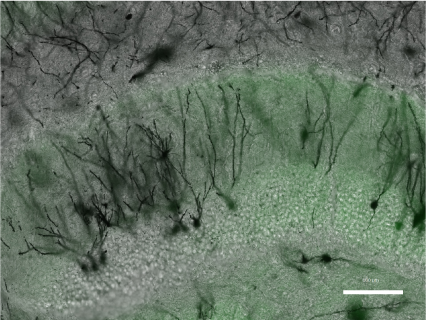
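A curved band of densely packed, pale cell bodies runs across the field. A number of neurons within or at the edge of this band are impregnated solid black. From these black cell bodies, branching dendrites fan out in one direction into the broader, less cellular layer beside the band. Most of the cells remain unstained and form a grey granular background, and a faint green tint overlies part of the tissue.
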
